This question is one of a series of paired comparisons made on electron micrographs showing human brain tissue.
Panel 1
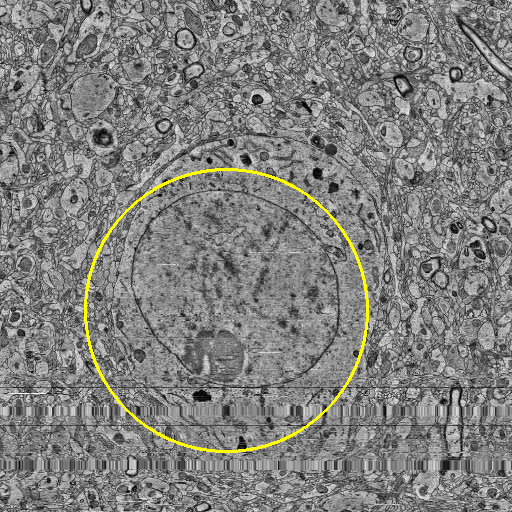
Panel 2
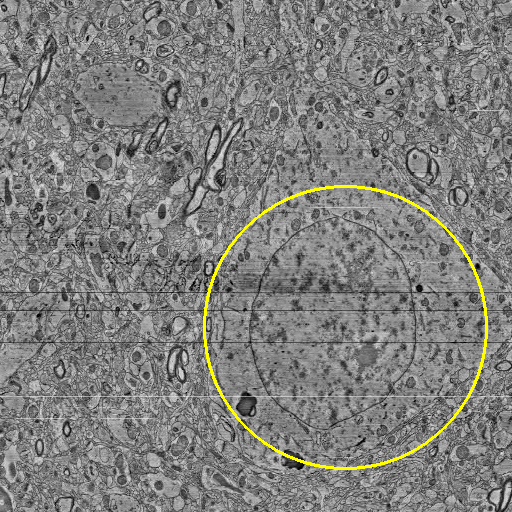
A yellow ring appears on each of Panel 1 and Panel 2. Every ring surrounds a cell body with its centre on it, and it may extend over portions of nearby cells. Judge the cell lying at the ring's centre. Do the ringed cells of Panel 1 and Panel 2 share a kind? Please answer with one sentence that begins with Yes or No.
Yes, the ring-centre cell in Panel 1 and the one in Panel 2 are of one kind.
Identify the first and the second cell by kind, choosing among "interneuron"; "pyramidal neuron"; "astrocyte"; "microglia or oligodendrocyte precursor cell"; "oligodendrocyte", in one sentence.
Both pictures show a pyramidal neuron at the centre of the ring.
